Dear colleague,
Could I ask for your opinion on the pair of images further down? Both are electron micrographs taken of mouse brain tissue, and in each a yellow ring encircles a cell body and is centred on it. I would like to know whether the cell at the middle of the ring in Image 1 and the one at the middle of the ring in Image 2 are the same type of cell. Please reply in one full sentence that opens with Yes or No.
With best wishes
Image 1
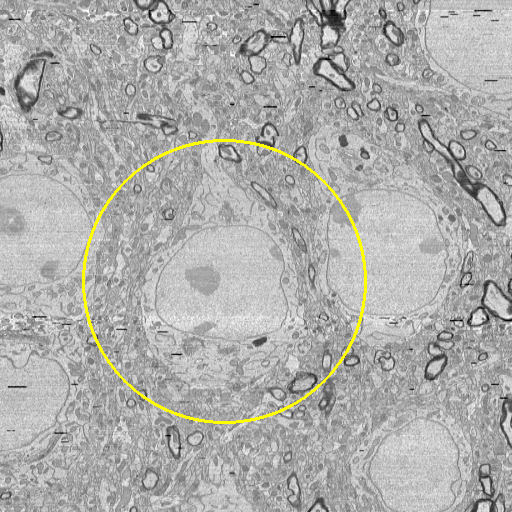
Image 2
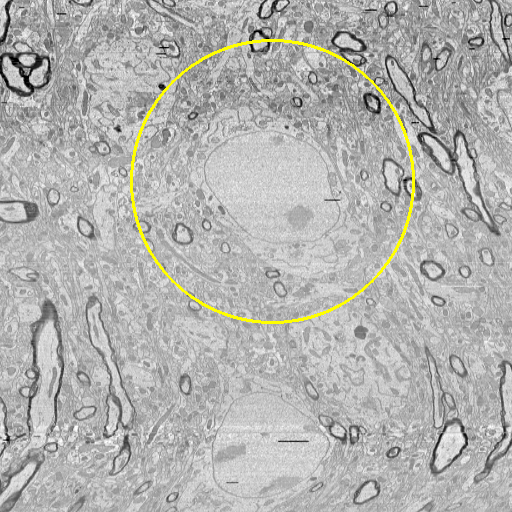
Yes, the cells at the ring centres in Image 1 and Image 2 are of one type.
